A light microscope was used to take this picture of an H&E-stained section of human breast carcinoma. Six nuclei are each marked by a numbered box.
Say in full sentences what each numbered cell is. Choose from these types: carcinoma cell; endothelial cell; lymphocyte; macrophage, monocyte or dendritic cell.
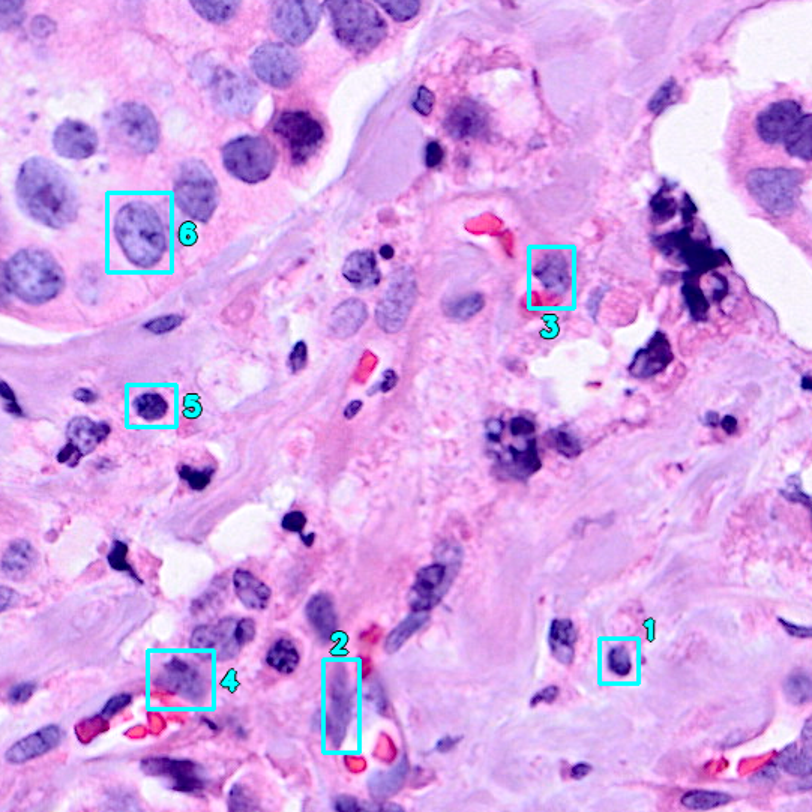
Cell 1 is a lymphocyte, cell 2 is an endothelial cell, cell 3 is an endothelial cell, cell 4 is an endothelial cell, cell 5 is a lymphocyte and cell 6 is a carcinoma cell.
